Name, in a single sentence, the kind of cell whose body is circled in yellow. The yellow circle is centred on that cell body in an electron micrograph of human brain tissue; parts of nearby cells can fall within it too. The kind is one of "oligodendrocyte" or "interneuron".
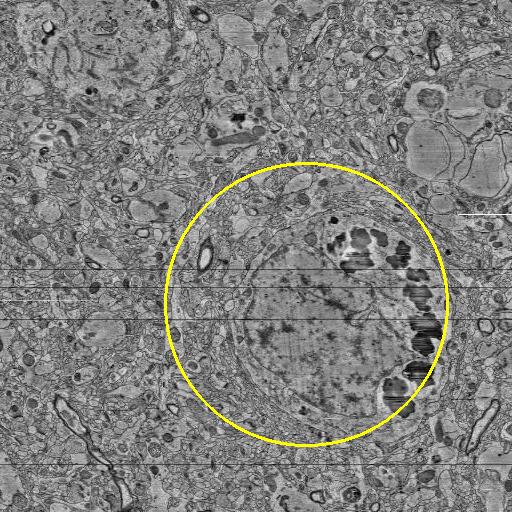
The circled cell body belongs to an interneuron.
